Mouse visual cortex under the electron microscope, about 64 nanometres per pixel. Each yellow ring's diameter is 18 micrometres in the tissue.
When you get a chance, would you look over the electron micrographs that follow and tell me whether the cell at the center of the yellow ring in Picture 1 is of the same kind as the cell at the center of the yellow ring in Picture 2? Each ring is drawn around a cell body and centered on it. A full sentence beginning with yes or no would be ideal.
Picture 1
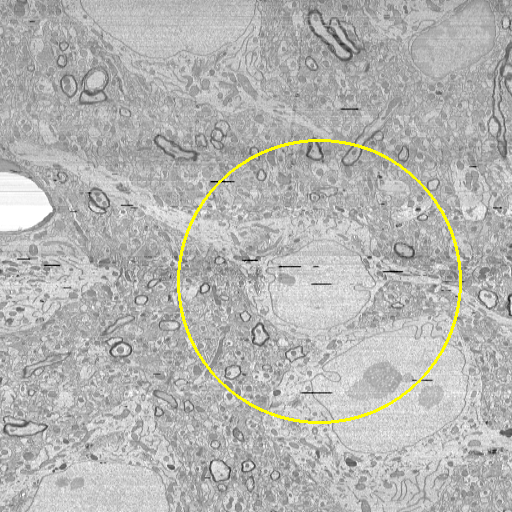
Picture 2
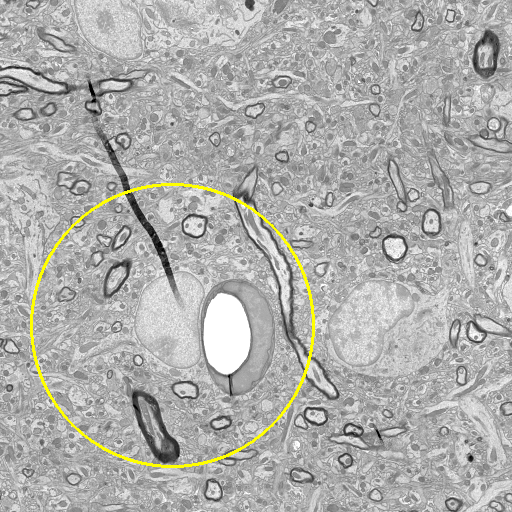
No, they are two kinds of cell.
